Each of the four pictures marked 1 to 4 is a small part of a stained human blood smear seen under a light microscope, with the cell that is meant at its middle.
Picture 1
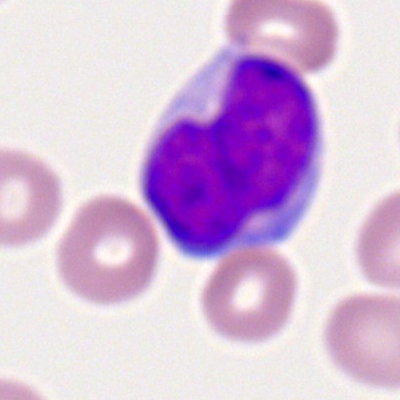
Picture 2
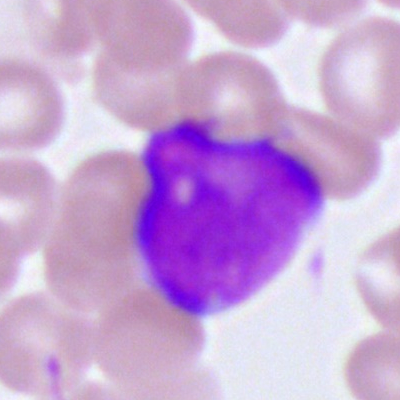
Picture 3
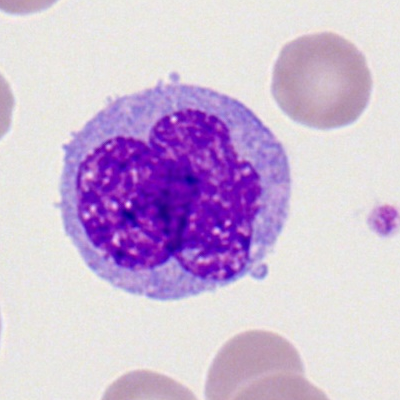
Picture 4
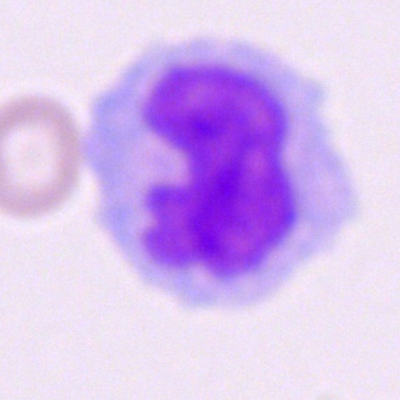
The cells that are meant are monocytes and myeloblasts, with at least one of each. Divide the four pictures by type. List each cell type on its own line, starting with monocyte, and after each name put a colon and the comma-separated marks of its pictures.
monocyte: 3, 4
myeloblast: 1, 2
